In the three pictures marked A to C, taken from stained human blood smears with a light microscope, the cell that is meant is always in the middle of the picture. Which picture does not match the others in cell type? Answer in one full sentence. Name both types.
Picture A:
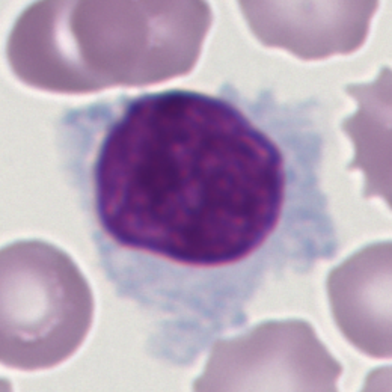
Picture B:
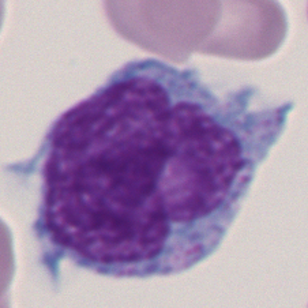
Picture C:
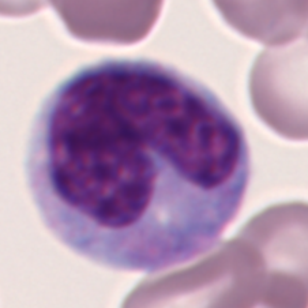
Unlike the rest, which show monocytes, picture A shows a hairy cell.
